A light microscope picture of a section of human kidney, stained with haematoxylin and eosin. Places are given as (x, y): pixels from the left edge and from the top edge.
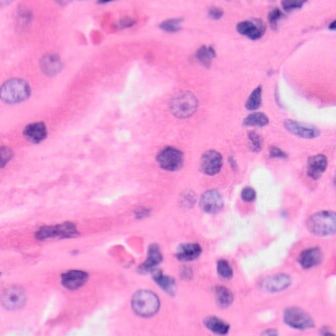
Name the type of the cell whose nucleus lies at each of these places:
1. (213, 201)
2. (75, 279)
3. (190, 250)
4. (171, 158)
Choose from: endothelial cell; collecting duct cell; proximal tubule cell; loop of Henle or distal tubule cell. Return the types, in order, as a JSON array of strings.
["loop of Henle or distal tubule cell", "proximal tubule cell", "loop of Henle or distal tubule cell", "proximal tubule cell"]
